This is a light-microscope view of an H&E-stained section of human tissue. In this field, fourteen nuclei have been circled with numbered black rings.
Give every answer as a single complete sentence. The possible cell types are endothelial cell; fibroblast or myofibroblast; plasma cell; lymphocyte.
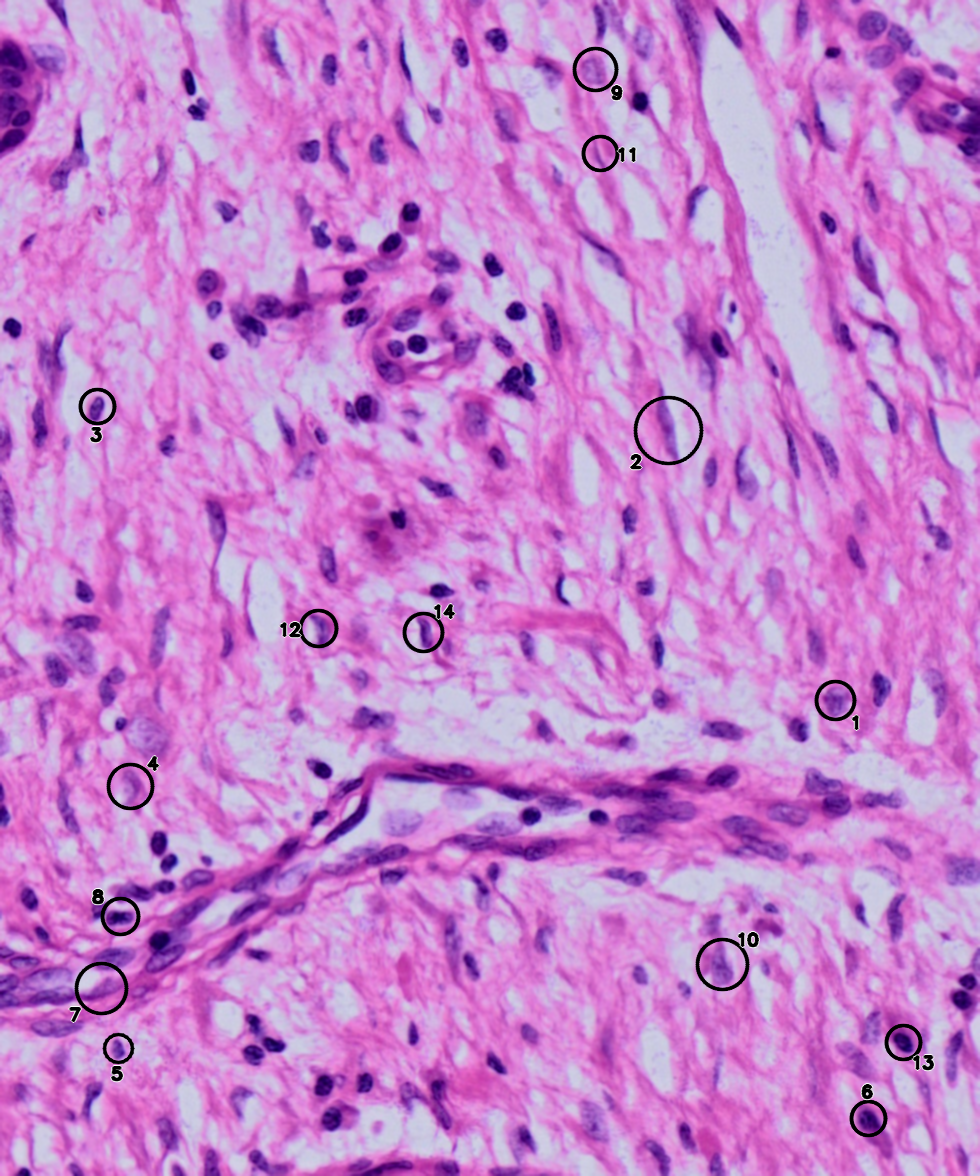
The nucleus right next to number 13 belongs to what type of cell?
Number 13 lies closest to the nucleus of a fibroblast or myofibroblast.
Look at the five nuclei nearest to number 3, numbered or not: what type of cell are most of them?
Around number 3, most of the five nearest nuclei are those of fibroblasts or myofibroblasts.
